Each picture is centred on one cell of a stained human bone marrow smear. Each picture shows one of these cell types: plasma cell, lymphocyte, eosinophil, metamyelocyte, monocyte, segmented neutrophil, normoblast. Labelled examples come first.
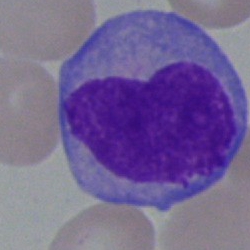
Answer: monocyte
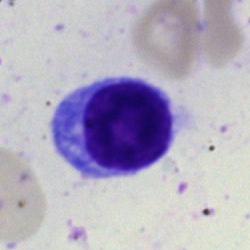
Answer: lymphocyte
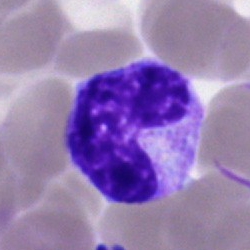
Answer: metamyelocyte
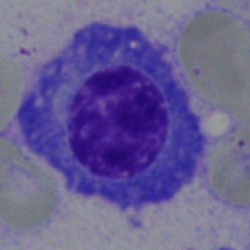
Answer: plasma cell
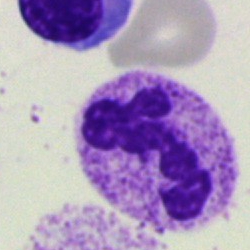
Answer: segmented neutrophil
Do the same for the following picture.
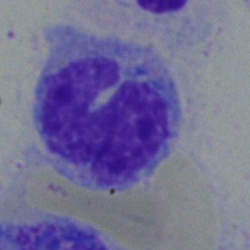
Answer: monocyte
